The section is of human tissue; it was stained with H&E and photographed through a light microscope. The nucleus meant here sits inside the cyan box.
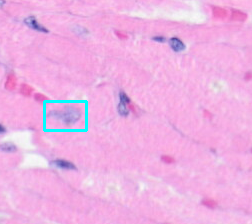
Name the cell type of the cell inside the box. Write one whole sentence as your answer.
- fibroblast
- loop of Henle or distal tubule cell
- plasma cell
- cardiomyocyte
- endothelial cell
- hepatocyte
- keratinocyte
Labelled by cell type, the cell inside the box is a cardiomyocyte.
